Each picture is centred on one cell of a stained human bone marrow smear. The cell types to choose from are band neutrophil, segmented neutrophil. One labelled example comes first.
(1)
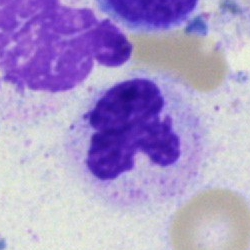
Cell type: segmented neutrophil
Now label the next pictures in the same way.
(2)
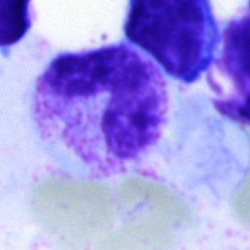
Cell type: band neutrophil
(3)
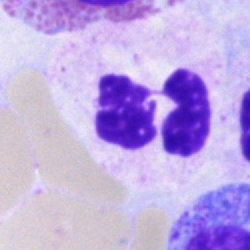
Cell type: segmented neutrophil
